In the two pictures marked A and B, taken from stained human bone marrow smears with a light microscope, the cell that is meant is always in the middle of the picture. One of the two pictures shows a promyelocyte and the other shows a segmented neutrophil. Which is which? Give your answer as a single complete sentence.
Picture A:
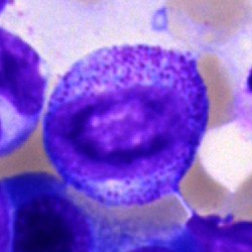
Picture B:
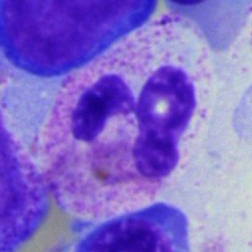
Picture A is of a promyelocyte, and picture B is of a segmented neutrophil.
